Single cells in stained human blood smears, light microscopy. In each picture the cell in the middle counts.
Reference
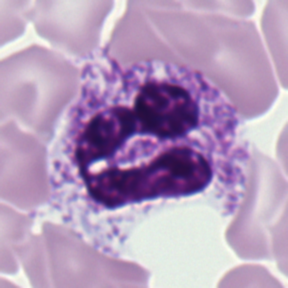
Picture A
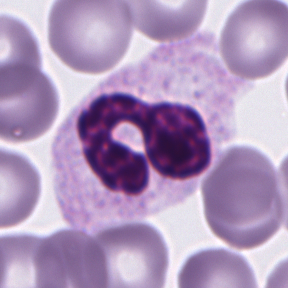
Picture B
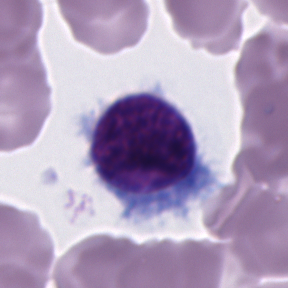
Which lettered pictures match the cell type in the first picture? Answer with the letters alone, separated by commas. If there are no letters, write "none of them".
A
